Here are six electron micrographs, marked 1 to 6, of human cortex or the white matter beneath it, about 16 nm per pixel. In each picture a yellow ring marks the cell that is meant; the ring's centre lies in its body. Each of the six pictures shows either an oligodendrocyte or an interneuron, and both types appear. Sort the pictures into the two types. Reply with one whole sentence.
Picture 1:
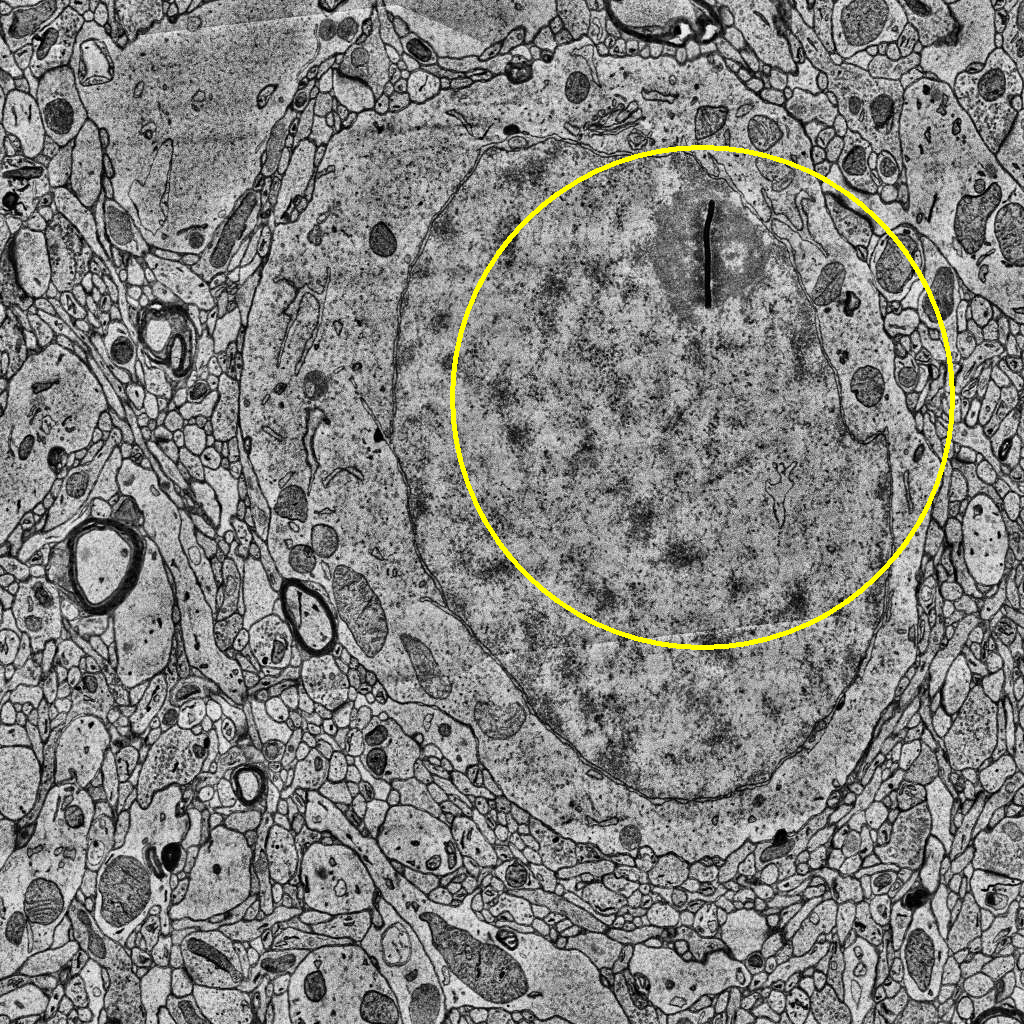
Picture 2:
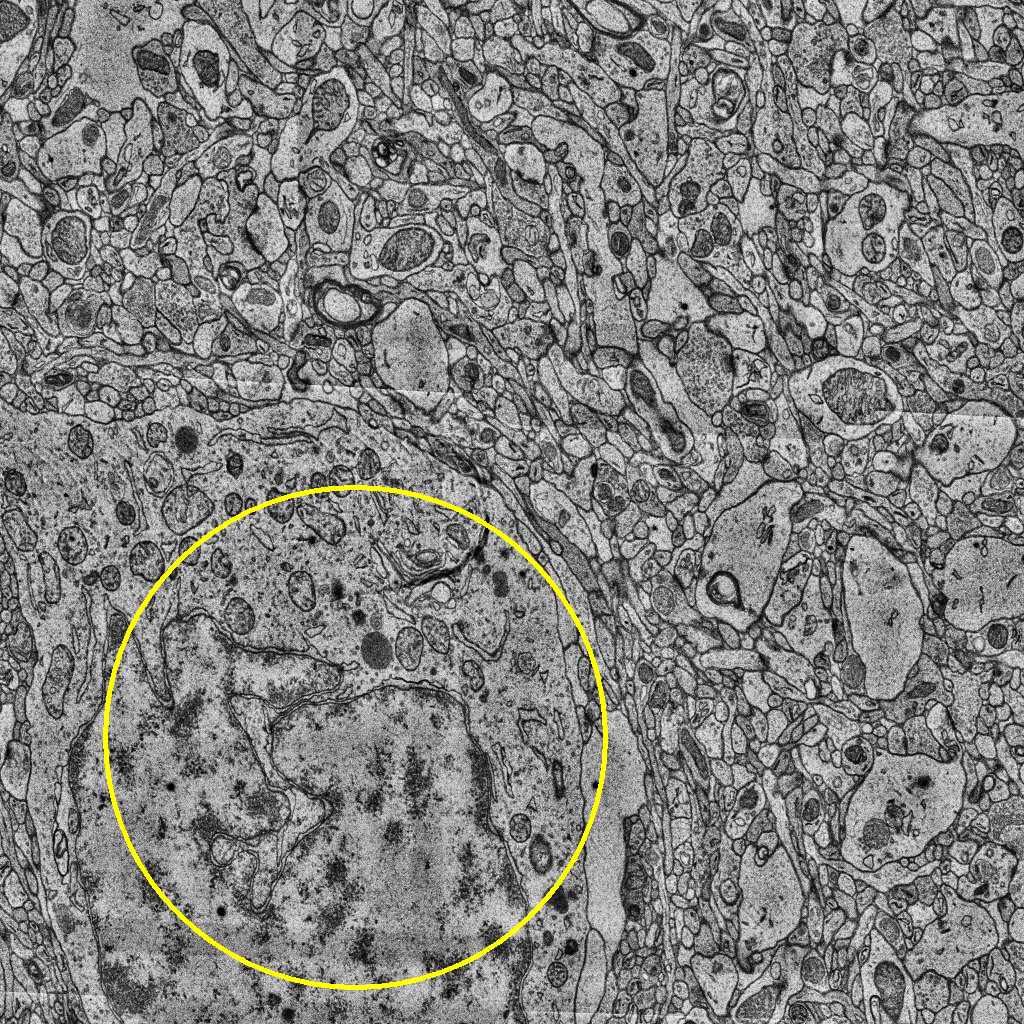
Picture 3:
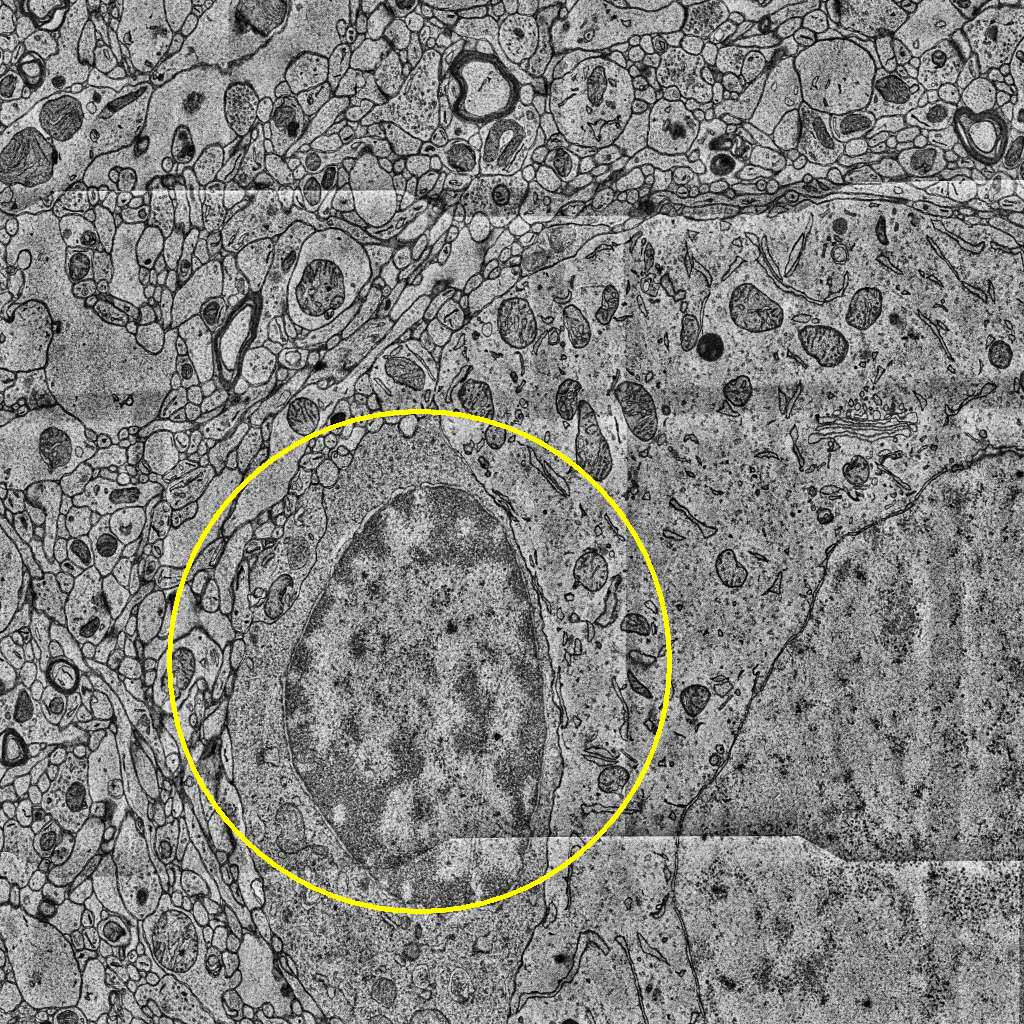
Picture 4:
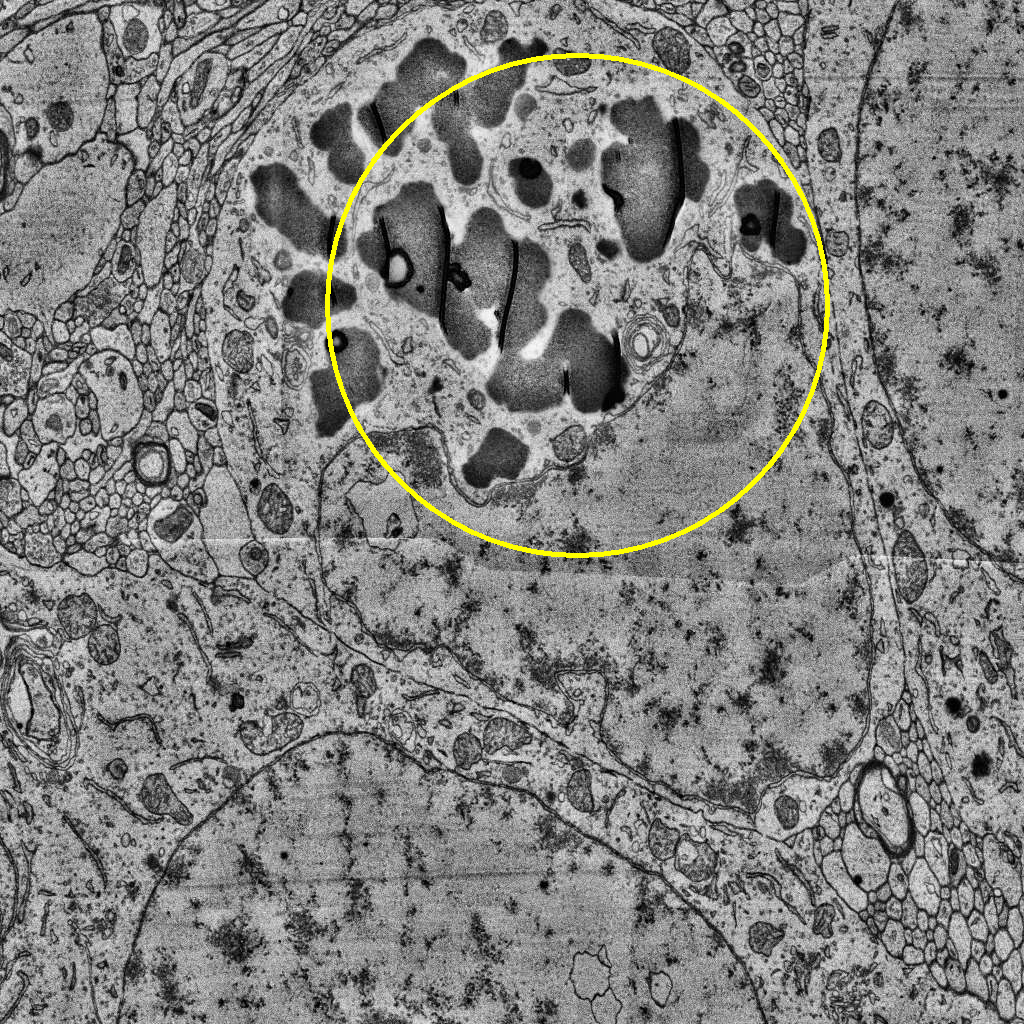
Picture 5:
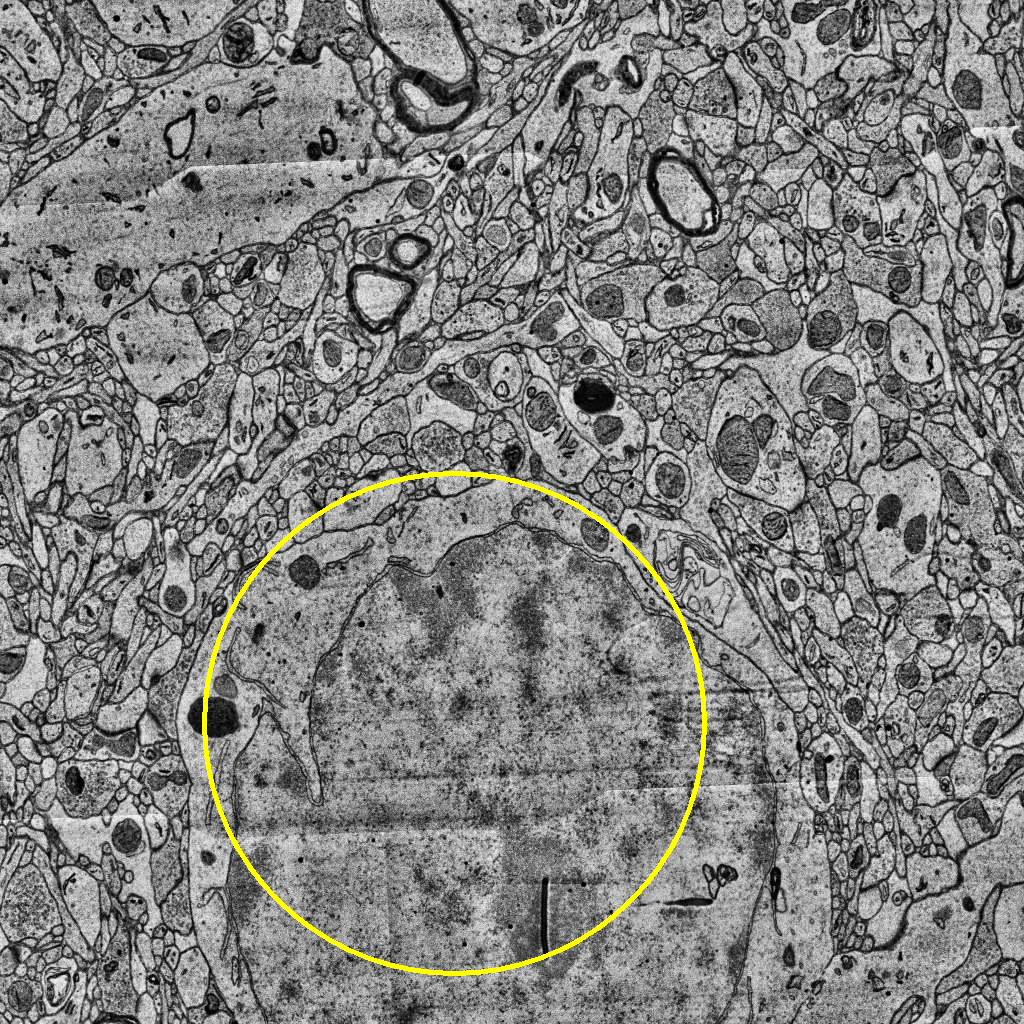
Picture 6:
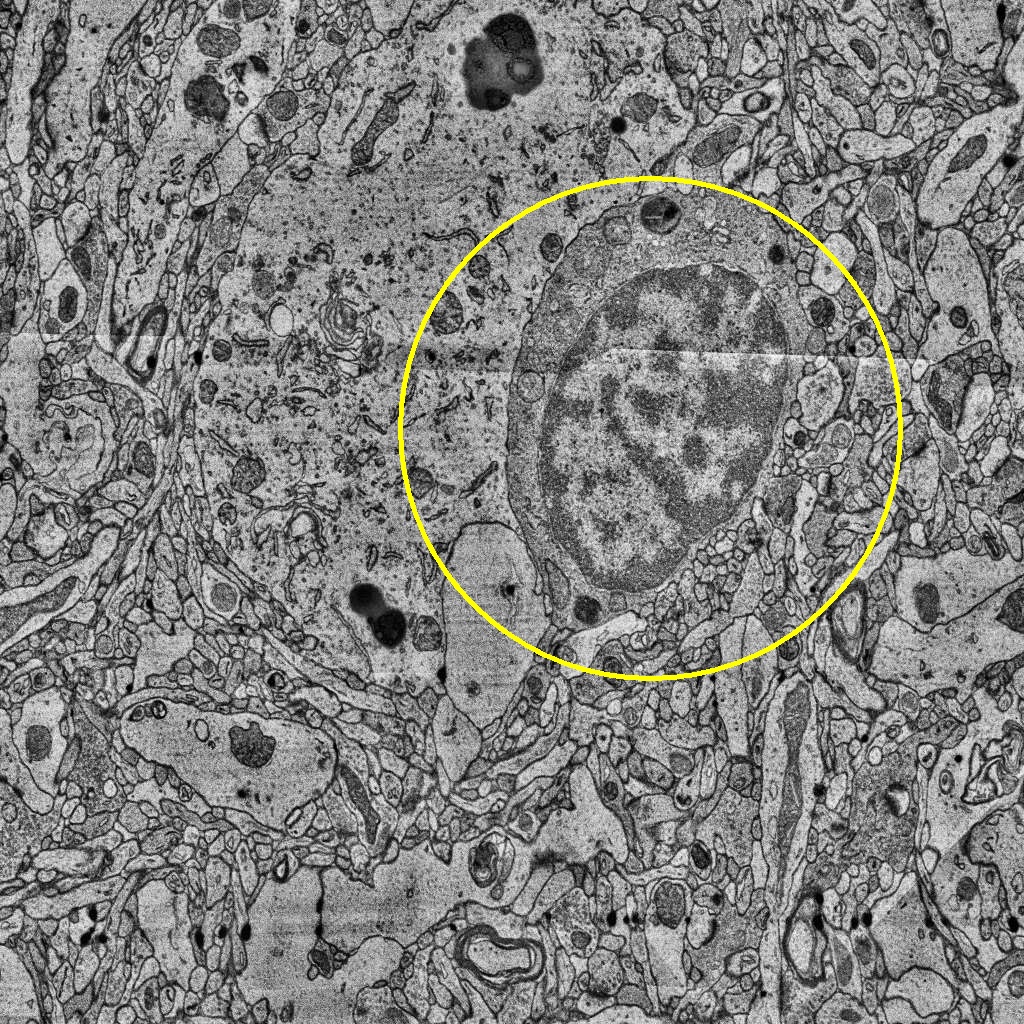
Pictures 3 and 6 show oligodendrocytes; pictures 1, 2, 4 and 5 show interneurons.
